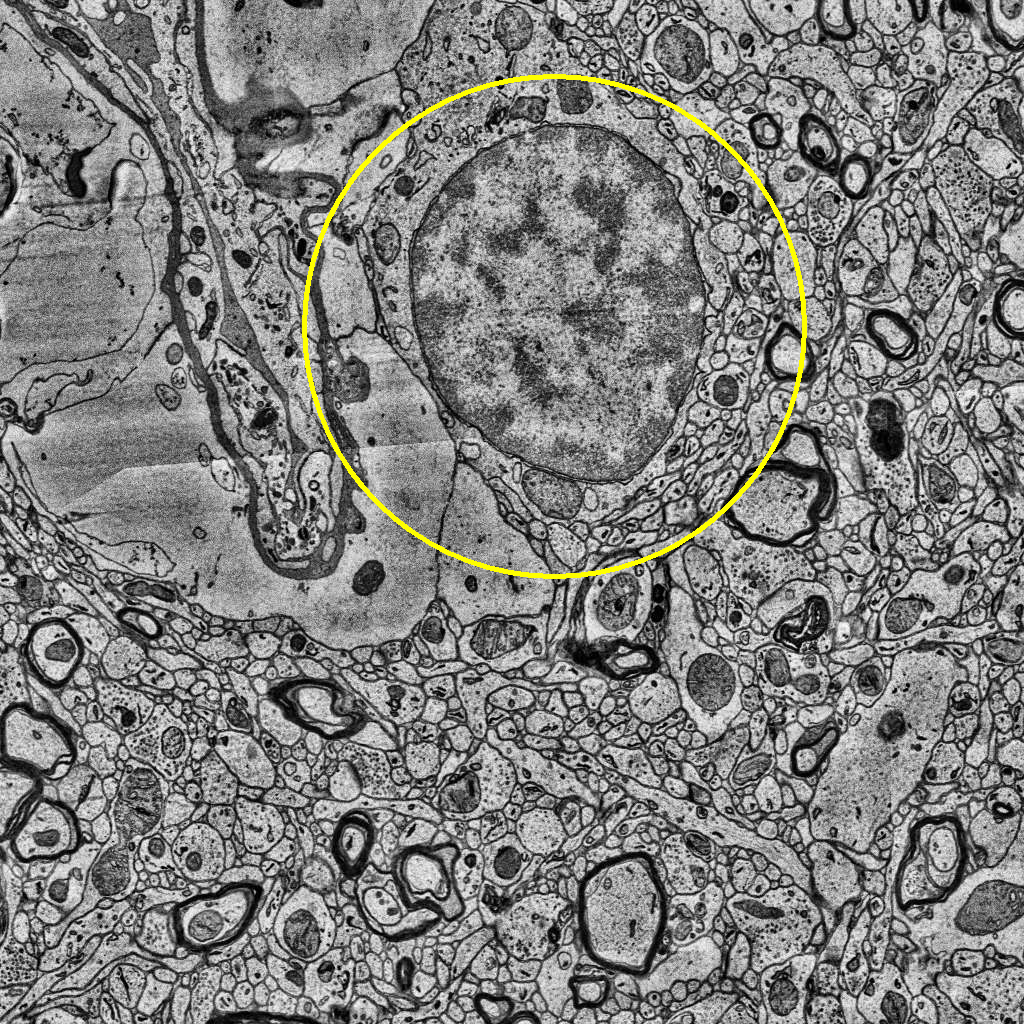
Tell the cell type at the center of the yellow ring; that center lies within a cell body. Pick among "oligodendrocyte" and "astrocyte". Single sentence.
The ring's center lies in the body of an oligodendrocyte.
